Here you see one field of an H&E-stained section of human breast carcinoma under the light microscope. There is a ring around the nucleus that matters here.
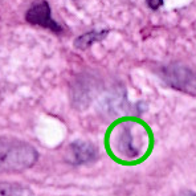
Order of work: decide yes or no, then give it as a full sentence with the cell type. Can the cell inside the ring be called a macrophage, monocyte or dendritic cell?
Yes, the description of the cell inside the ring as a macrophage, monocyte or dendritic cell is accurate.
